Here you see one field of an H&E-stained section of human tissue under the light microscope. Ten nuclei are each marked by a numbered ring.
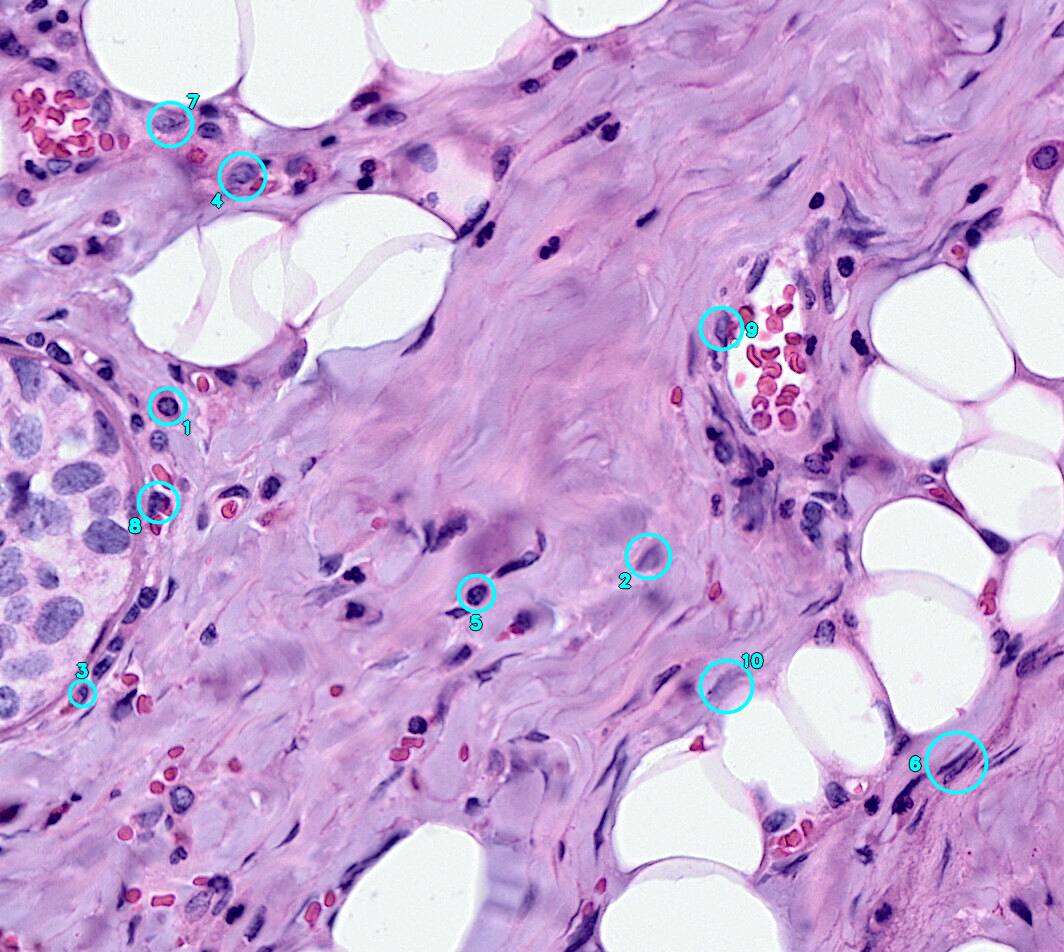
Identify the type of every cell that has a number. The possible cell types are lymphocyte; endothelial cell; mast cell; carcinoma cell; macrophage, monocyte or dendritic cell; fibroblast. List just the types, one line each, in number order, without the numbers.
mast cell
fibroblast
endothelial cell
endothelial cell
mast cell
fibroblast
endothelial cell
endothelial cell
endothelial cell
fibroblast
